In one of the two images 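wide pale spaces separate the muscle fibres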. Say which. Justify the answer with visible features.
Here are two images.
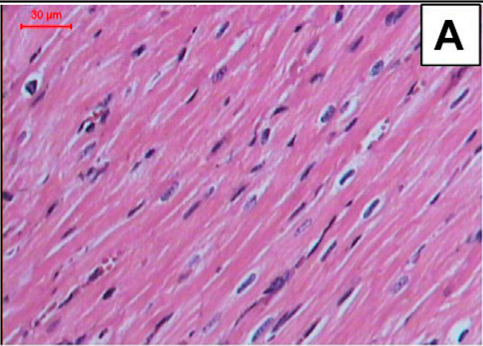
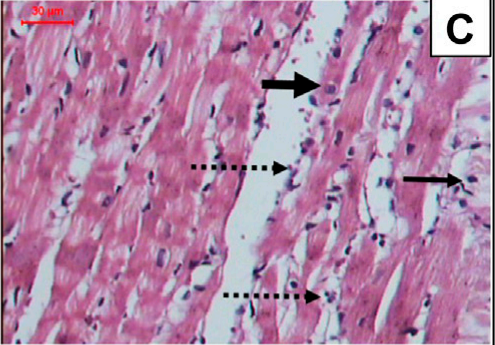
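The second image. Second image: broad clear gaps lie between irregular pink fibres, holding scattered small nuclei. First image: the fibres lie close together with only narrow spaces between them.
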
